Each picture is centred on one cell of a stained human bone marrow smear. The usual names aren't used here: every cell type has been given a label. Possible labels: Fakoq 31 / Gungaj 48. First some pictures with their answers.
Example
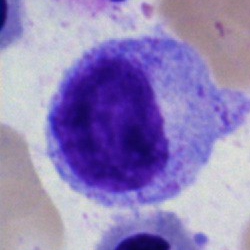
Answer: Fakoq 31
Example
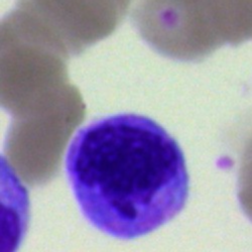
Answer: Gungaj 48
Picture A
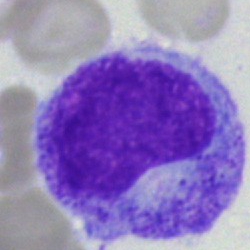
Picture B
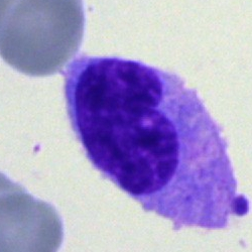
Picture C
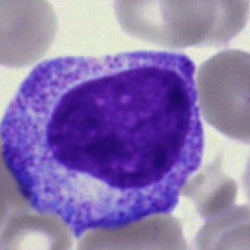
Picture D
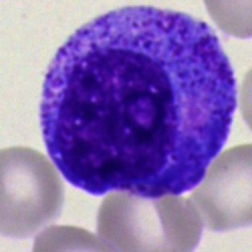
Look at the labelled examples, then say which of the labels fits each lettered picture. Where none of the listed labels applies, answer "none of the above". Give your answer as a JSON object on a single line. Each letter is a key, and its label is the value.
{"A": "none of the above", "B": "Gungaj 48", "C": "Fakoq 31", "D": "none of the above"}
